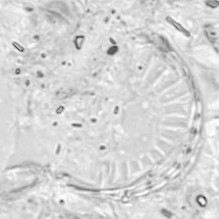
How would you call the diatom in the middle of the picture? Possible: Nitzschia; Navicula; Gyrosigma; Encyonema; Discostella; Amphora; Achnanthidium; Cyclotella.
I would call it Cyclotella.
